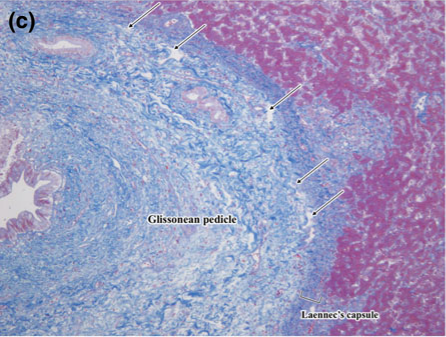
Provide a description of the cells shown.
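Liver parenchyma borders a broad zone of connective tissue that holds ducts and vessels. The parenchyma on the right stains red and is built of closely packed cords of cells. The connective tissue on the left stains blue, and a duct lined by a folded epithelium sits at its far left edge. A thin, denser blue band lines the parenchyma along its border, and small white clefts run beside this band.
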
